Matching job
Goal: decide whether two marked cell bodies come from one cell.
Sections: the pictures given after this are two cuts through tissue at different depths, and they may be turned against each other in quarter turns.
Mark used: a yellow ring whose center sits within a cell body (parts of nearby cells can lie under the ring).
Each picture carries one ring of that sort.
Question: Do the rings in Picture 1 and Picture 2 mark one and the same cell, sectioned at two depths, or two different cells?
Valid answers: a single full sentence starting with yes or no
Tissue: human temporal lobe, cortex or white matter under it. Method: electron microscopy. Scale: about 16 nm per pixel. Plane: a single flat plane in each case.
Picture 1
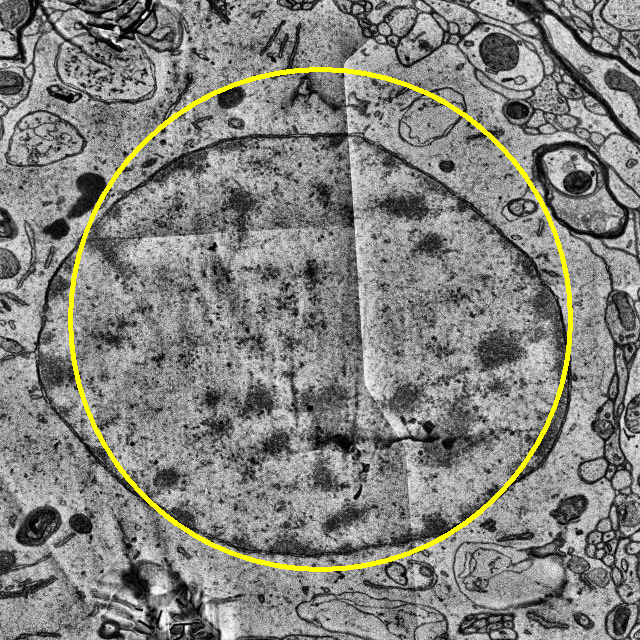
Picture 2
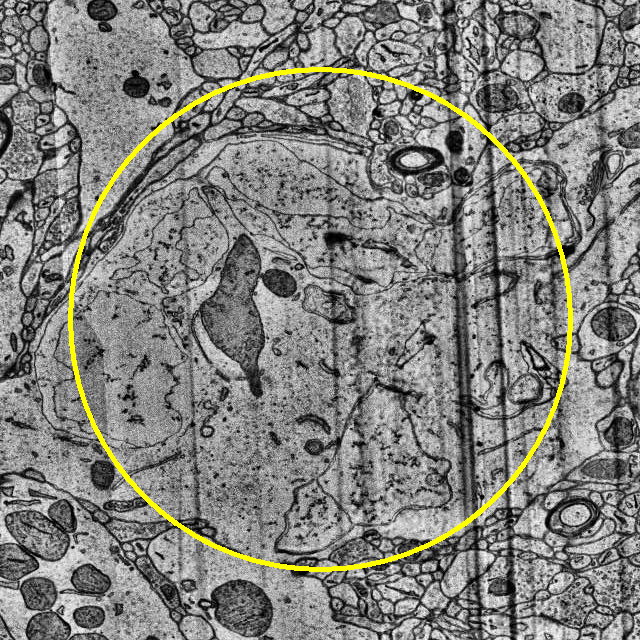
Yes, a single cell is the subject of both yellow rings.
